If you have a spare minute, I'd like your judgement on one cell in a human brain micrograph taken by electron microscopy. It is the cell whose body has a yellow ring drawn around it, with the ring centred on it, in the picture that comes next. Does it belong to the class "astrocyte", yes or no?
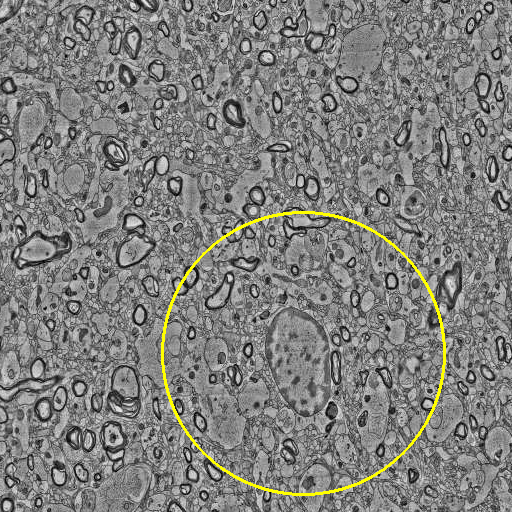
No, it belongs to another class.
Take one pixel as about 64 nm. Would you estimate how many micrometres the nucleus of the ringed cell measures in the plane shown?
Roughly 7 micrometres by 4 micrometres, in this plane.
